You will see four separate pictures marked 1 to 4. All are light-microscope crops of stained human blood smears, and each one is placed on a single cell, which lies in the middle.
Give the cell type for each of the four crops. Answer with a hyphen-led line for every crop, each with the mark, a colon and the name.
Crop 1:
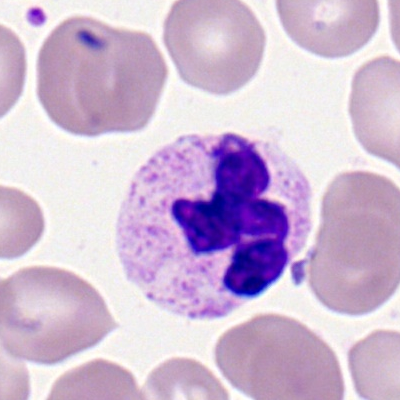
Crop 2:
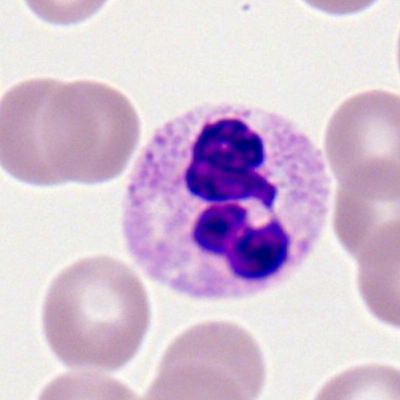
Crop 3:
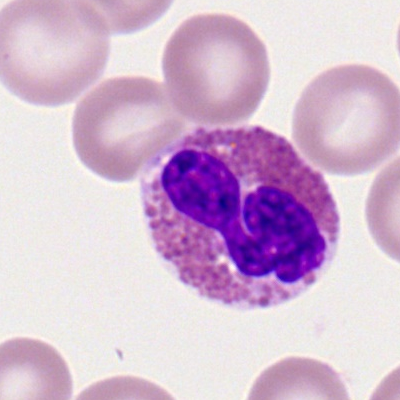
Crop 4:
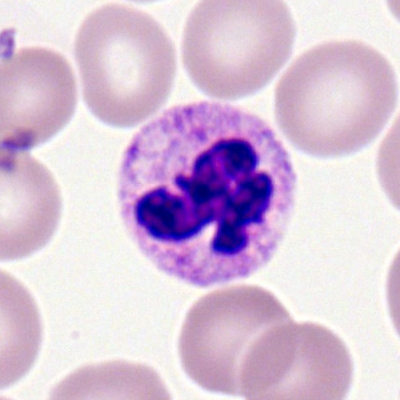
- 1: segmented neutrophil
- 2: segmented neutrophil
- 3: eosinophil
- 4: segmented neutrophil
